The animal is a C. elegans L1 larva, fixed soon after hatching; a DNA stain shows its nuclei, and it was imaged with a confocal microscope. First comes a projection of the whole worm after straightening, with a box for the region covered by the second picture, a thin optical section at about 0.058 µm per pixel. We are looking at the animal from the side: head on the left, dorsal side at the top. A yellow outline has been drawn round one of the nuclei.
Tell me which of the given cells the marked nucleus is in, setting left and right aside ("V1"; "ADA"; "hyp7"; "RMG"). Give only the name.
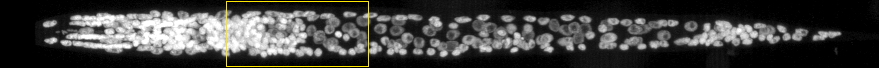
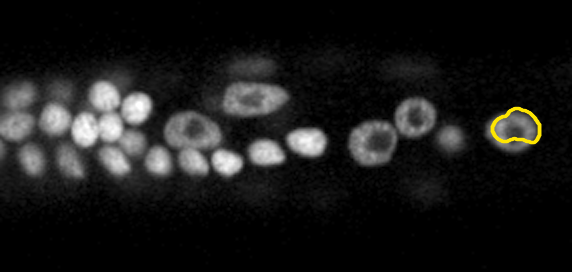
V1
